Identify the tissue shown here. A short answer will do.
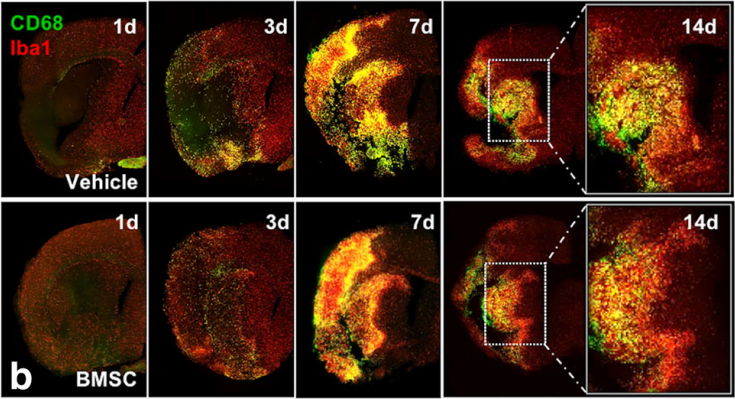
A: brain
